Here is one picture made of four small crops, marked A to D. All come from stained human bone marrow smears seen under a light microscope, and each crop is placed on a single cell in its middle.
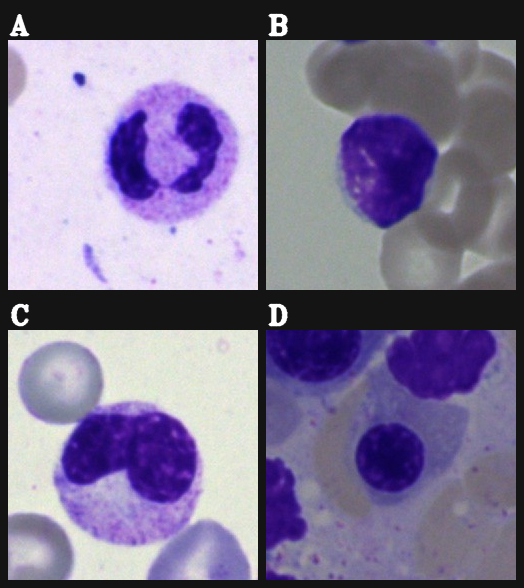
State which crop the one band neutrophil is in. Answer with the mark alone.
C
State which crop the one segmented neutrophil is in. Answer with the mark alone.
A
